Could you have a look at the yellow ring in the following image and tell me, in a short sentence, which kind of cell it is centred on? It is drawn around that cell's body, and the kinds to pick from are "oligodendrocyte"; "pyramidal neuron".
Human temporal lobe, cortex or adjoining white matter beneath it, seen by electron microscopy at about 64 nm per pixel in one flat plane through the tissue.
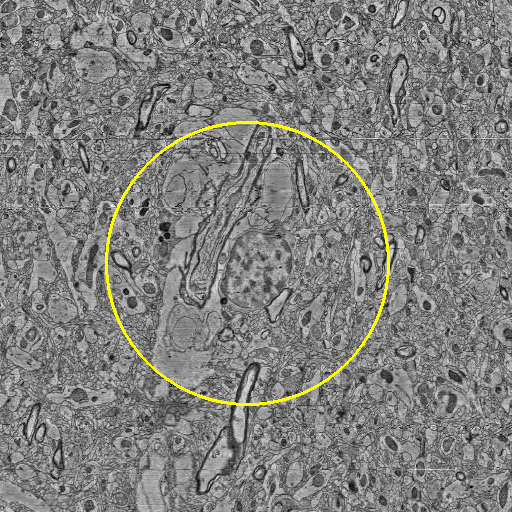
The ring is centred on the body of an oligodendrocyte.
